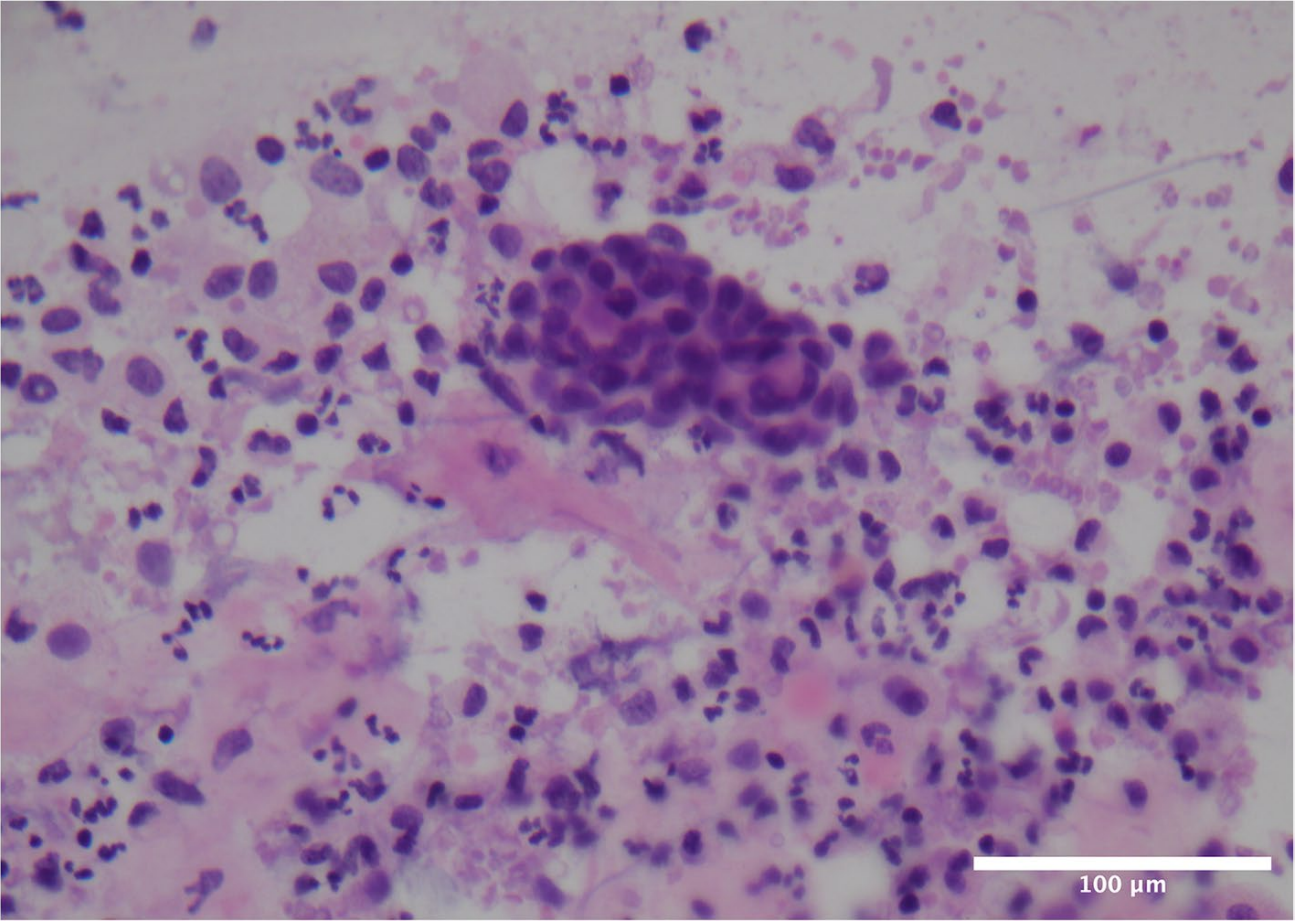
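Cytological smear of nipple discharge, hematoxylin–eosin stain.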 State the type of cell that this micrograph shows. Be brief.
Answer: Mammary epithelial cells and inflammatory cells.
